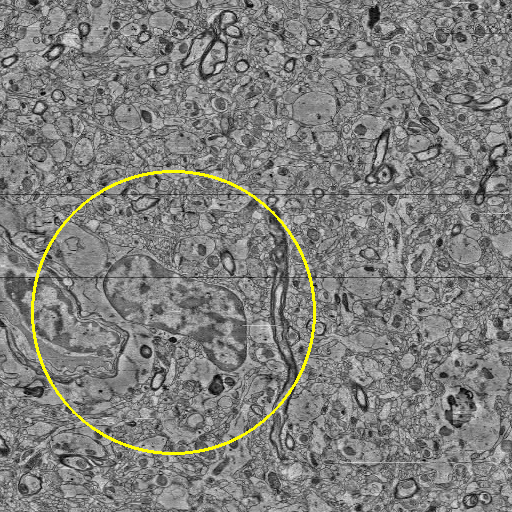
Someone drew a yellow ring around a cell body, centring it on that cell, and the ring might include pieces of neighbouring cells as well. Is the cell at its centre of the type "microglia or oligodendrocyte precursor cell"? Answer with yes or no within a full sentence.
Yes, within the picture, the cell the ring is centred on qualifies as that type.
